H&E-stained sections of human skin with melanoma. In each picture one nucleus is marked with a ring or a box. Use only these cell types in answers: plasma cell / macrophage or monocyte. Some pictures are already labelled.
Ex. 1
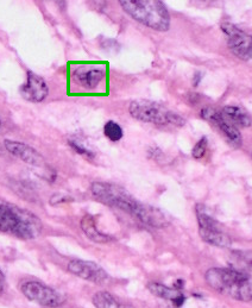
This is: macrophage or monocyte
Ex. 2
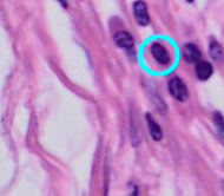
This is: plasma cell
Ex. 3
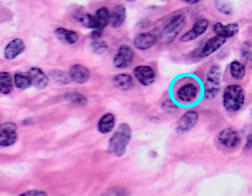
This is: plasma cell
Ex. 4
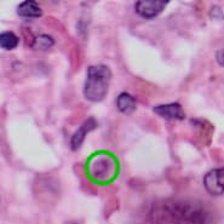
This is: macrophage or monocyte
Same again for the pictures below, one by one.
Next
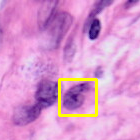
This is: macrophage or monocyte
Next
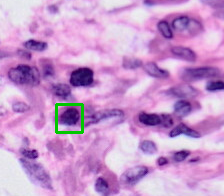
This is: plasma cell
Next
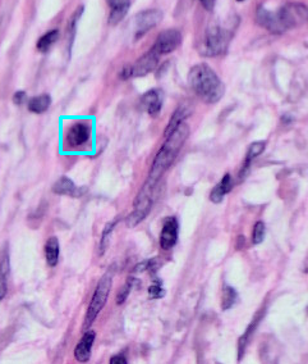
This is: plasma cell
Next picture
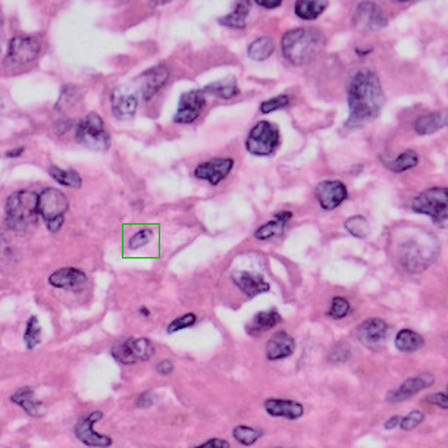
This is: macrophage or monocyte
